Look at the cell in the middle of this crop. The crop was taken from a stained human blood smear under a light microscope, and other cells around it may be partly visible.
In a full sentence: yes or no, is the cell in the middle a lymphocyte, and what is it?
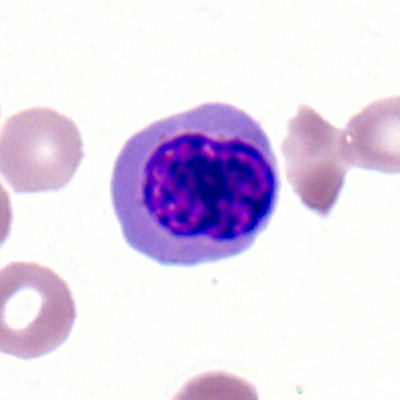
No, the middle cell is classified as an erythroblast and not as a lymphocyte.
